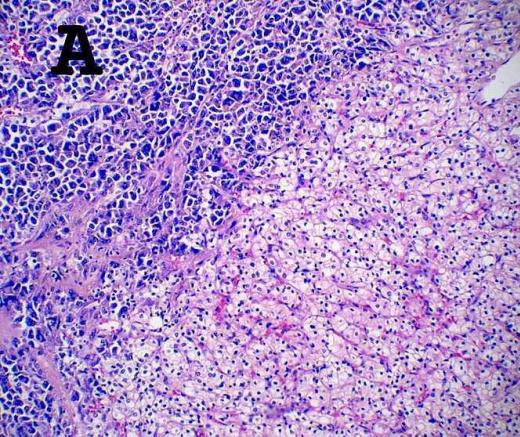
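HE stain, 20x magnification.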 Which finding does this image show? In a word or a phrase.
Tumor-to-tumor border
